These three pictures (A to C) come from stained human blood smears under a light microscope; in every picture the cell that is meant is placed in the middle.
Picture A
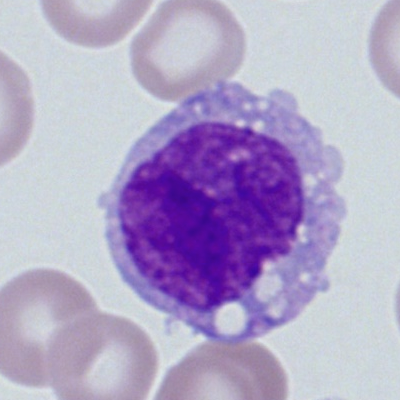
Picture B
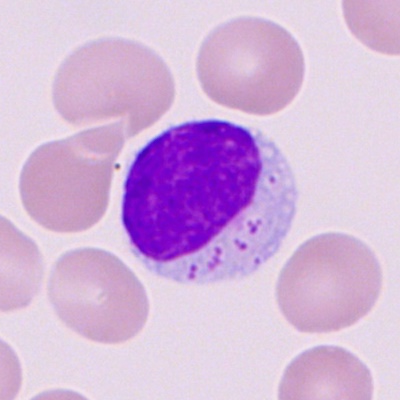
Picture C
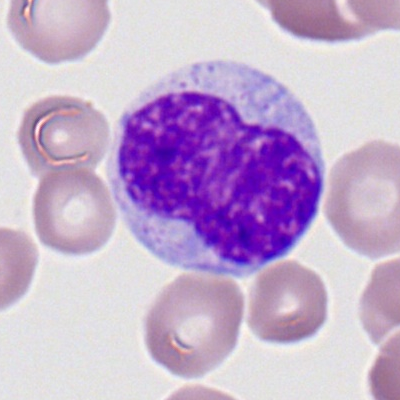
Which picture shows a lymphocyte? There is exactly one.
B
